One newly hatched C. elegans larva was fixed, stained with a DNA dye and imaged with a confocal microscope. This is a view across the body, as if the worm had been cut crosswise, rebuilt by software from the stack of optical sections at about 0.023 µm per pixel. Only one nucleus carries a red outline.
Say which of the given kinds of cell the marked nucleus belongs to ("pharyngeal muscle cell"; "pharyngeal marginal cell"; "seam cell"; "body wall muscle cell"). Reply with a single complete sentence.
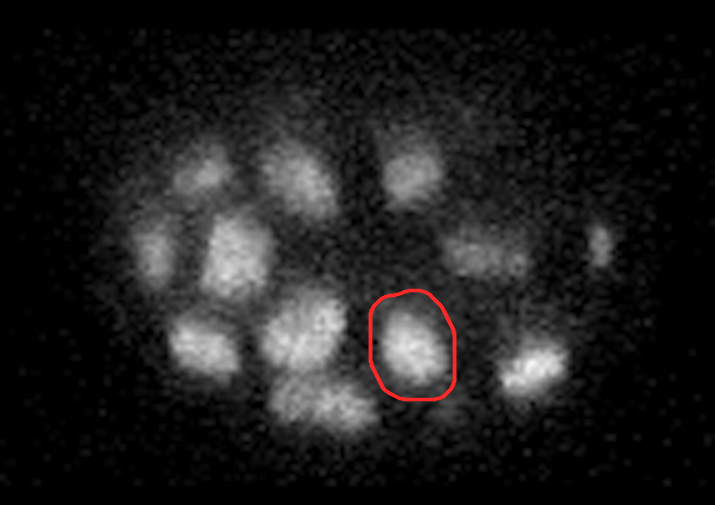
This is the nucleus of a pharyngeal marginal cell.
